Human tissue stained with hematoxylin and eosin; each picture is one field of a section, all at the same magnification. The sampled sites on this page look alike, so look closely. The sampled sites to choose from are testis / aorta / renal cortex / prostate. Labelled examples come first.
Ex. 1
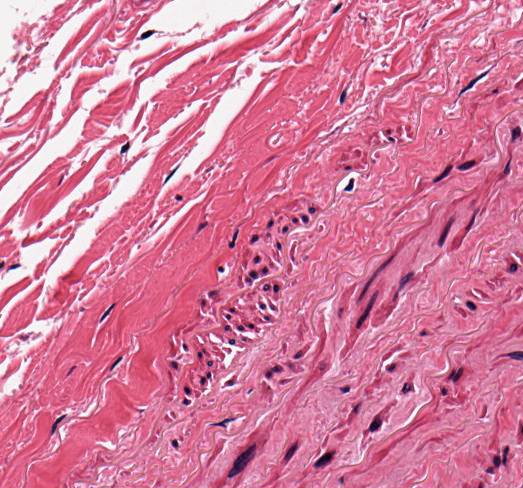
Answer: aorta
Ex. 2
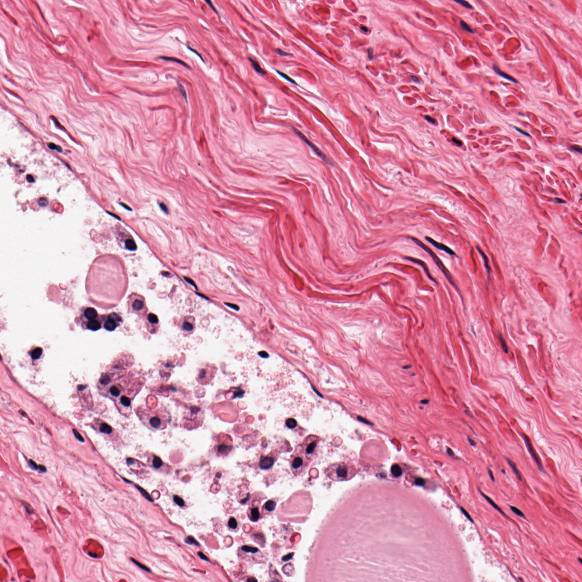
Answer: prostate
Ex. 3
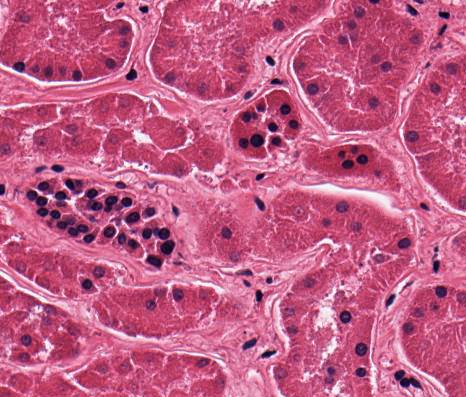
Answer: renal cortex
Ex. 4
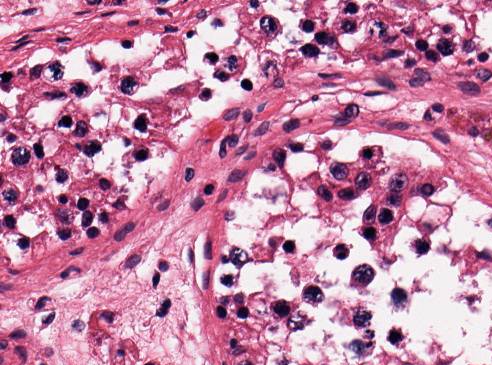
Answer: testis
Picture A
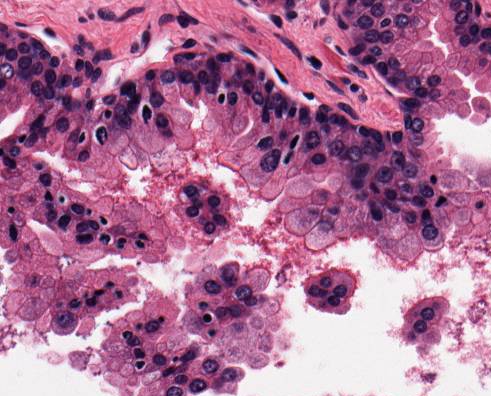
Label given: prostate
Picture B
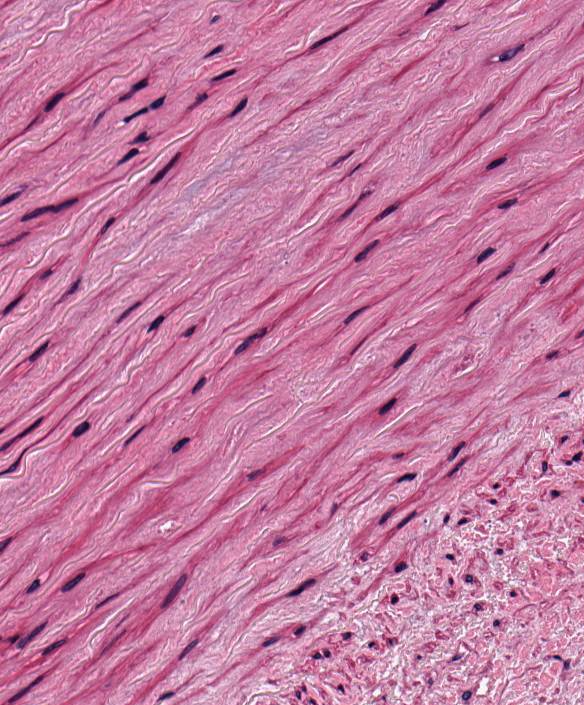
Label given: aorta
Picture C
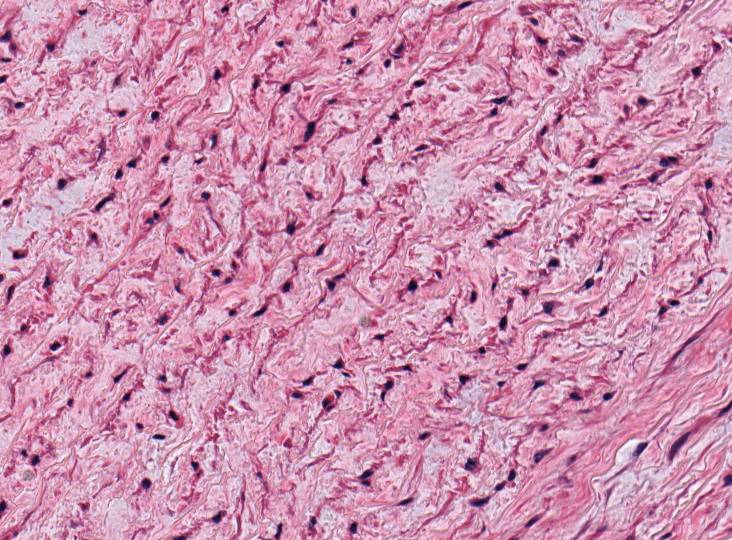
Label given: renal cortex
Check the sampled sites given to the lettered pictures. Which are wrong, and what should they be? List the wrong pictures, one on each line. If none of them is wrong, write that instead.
C: not renal cortex but aorta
